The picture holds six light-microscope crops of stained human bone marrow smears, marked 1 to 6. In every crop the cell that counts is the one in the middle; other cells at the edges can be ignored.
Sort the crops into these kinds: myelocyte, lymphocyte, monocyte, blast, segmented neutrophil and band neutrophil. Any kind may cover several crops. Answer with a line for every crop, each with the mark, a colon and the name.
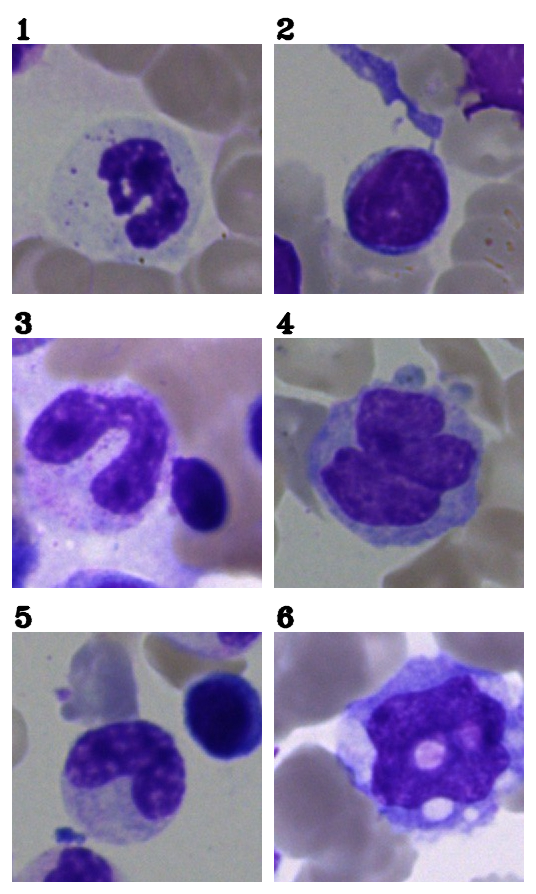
1: segmented neutrophil
2: lymphocyte
3: band neutrophil
4: monocyte
5: band neutrophil
6: monocyte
